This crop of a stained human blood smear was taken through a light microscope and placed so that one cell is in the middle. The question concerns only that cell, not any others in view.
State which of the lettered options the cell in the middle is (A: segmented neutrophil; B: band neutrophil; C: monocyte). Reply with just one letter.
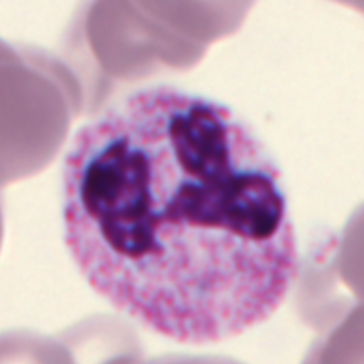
A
